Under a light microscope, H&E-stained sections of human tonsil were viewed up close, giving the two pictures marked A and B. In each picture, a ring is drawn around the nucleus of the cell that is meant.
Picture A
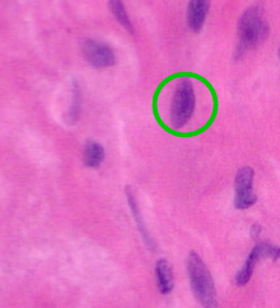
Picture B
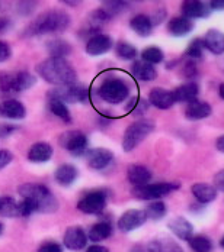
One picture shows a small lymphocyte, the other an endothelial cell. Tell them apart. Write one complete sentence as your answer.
In picture A the cell is an endothelial cell; in picture B, a small lymphocyte.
